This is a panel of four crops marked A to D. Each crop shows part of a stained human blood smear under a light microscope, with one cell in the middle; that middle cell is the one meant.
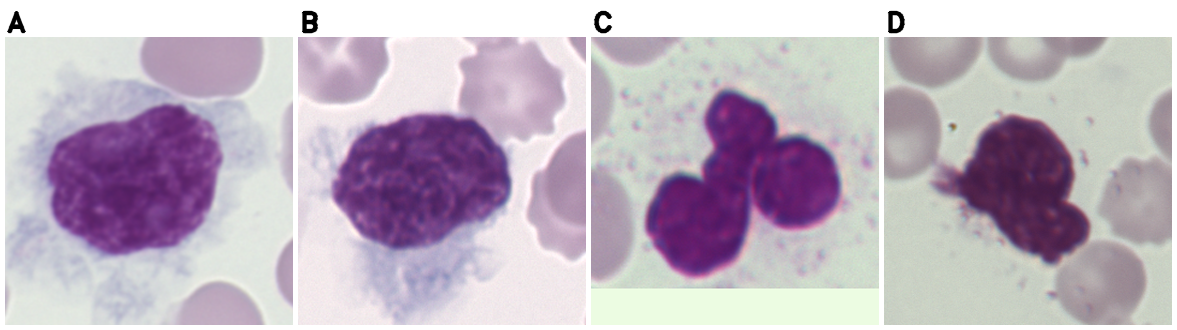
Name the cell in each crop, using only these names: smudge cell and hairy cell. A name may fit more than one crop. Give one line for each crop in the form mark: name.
A: hairy cell
B: hairy cell
C: smudge cell
D: smudge cell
